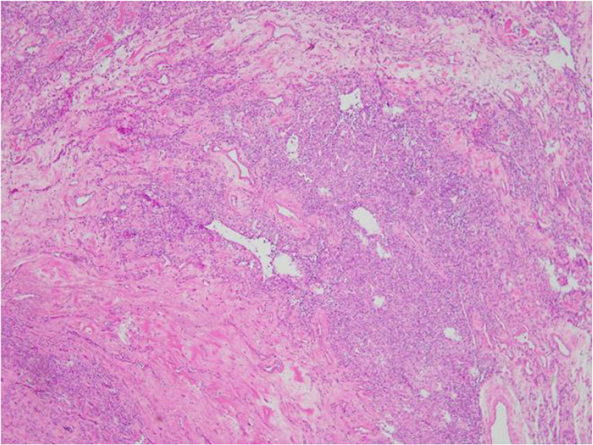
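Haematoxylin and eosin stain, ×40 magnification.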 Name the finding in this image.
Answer: patternless growth arrangement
